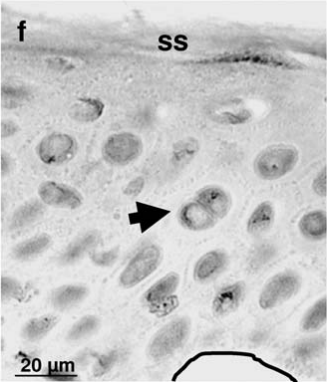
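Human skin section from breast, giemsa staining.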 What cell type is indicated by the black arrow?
binucleated cells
